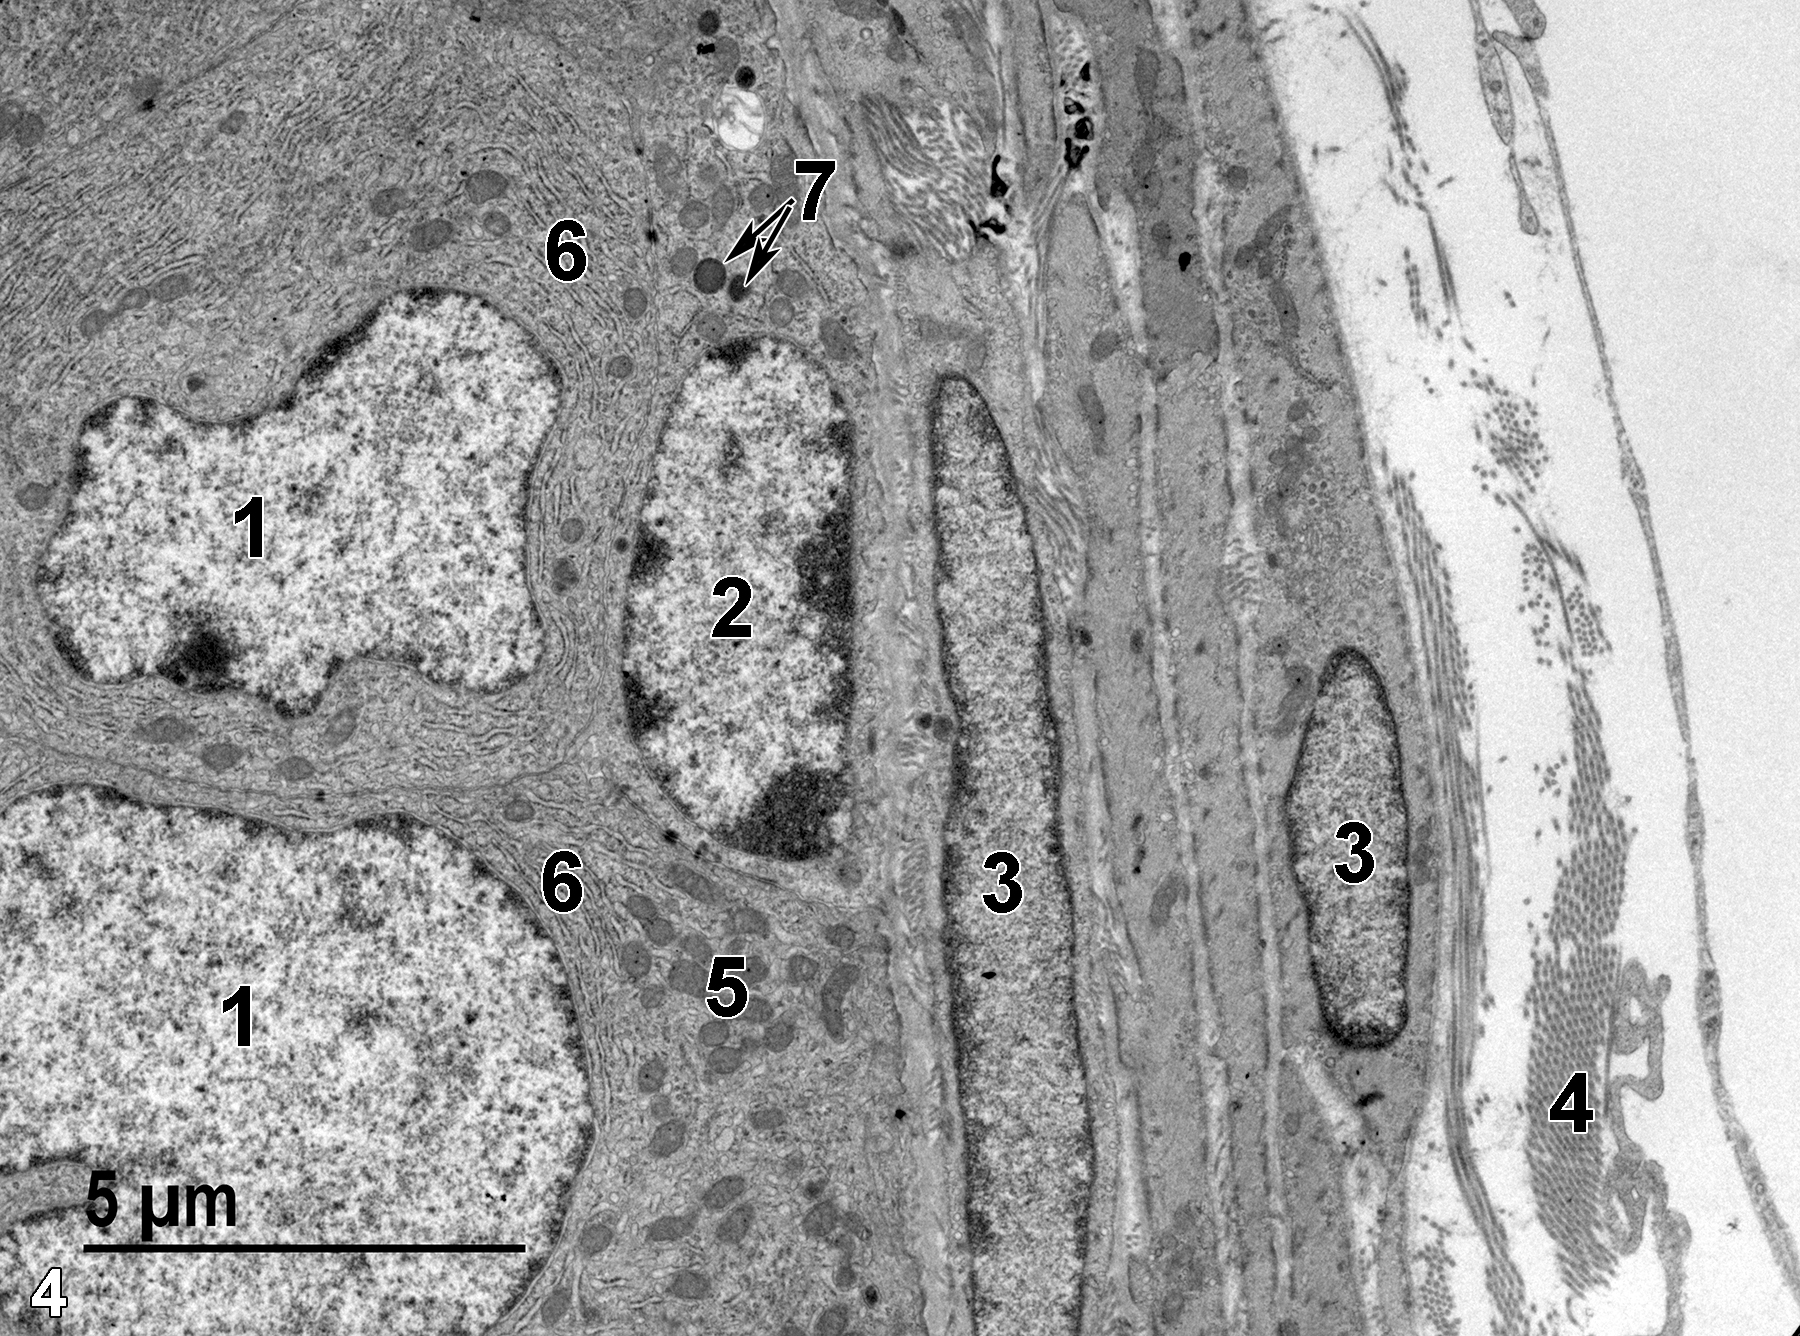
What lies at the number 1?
At 1: nuclei of columnar epithelial cells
